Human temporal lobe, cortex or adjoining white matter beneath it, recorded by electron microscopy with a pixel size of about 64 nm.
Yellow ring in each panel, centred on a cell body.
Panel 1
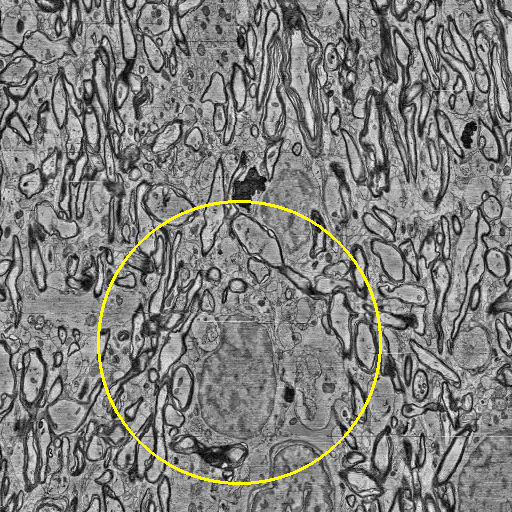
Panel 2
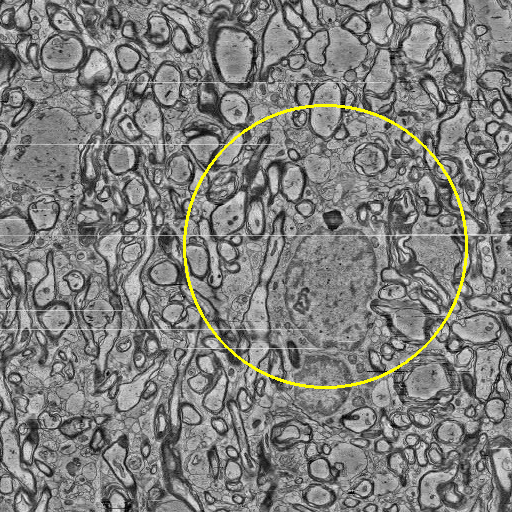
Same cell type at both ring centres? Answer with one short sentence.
Yes, both cells are of the same type.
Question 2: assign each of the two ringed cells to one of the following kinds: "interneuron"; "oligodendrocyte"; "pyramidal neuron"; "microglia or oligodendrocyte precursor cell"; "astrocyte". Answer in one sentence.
Both pictures show an oligodendrocyte at the centre of the ring.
